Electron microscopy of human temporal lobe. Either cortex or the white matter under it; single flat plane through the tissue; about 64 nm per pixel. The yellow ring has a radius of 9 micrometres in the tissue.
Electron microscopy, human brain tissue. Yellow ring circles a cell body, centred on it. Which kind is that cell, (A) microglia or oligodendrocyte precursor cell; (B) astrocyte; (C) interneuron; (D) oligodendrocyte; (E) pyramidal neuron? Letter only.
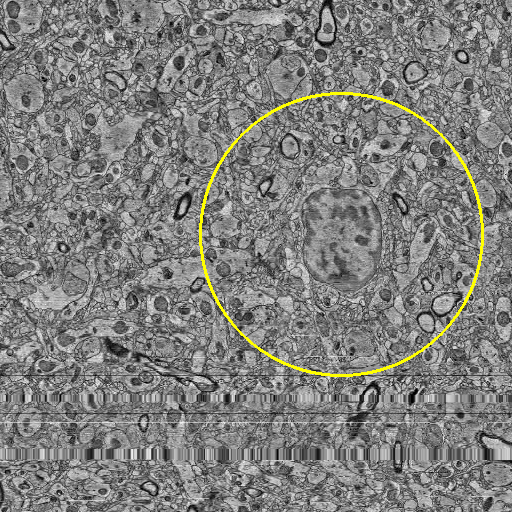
A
